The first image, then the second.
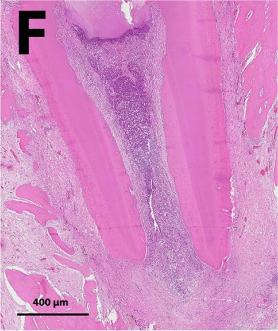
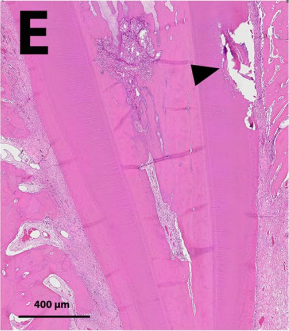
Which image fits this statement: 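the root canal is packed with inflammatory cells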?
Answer: the first image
